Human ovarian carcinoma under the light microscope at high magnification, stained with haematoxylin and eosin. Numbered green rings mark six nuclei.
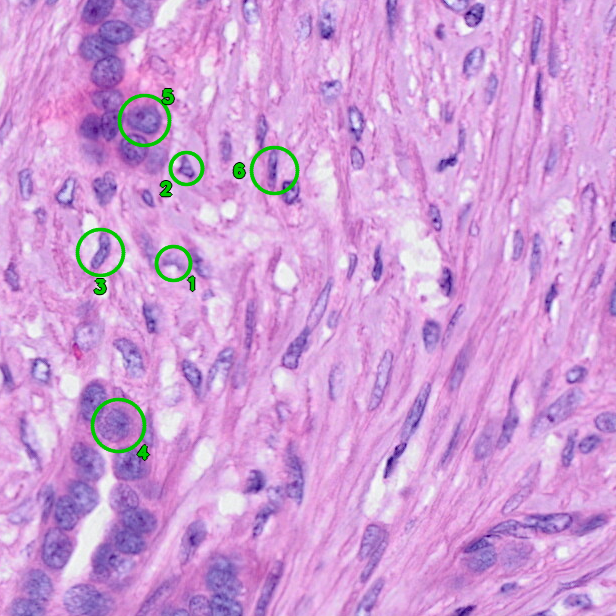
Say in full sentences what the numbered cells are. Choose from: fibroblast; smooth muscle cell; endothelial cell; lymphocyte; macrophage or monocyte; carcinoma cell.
Cells 1, 2, 3 and 6 are fibroblasts. Cells 4 and 5 are carcinoma cells.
